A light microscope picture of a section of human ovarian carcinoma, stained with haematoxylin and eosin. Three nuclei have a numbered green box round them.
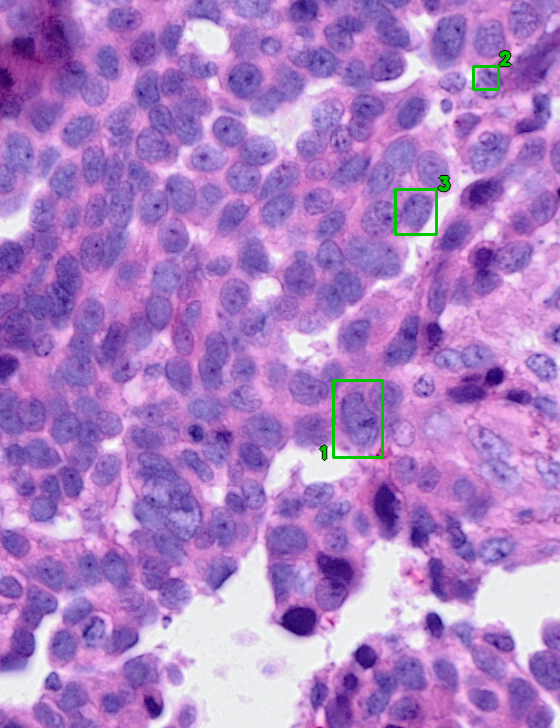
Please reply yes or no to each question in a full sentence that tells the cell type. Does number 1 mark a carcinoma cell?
Yes, the numbered cell 1 is a carcinoma cell.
